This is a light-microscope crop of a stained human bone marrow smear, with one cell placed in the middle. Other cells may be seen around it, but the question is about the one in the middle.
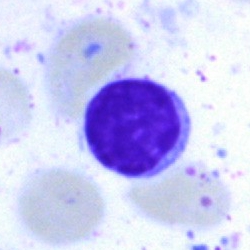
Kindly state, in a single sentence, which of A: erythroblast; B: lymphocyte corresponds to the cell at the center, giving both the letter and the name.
Located in the middle of the crop is a lymphocyte, and option B is therefore correct.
